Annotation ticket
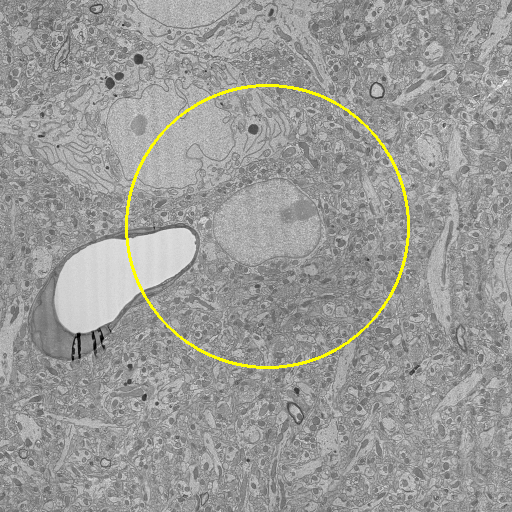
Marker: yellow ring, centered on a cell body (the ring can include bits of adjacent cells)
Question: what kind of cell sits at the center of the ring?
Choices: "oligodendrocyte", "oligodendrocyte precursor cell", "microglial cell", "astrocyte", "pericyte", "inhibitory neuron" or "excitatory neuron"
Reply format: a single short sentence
The ring is centered on an astrocyte.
